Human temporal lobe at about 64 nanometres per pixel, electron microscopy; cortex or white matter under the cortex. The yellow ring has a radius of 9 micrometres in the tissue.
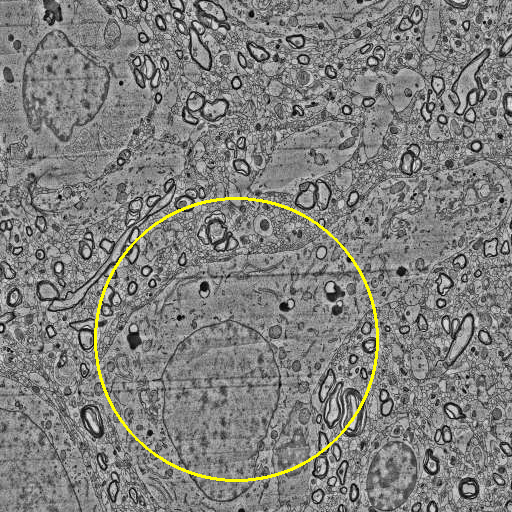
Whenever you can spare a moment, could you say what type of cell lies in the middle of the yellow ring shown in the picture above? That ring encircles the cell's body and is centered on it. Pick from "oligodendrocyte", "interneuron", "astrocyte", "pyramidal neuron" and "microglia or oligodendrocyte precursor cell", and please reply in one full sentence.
The cell whose body sits at the middle of the yellow ring is a pyramidal neuron.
